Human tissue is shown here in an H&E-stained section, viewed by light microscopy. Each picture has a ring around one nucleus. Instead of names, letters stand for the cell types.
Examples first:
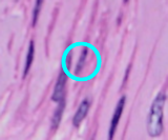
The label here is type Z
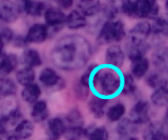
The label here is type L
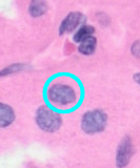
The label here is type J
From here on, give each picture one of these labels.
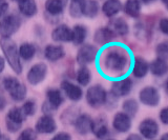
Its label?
type L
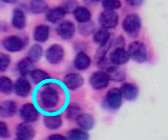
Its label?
type L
